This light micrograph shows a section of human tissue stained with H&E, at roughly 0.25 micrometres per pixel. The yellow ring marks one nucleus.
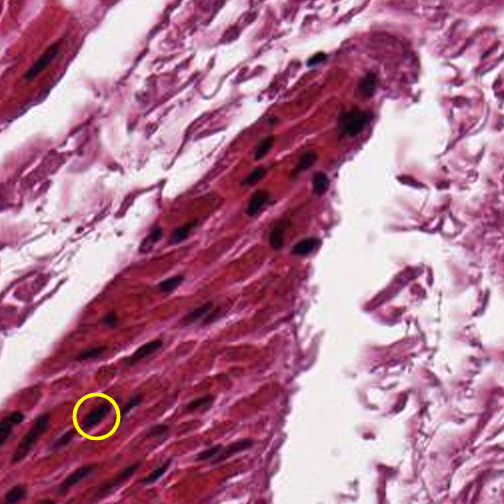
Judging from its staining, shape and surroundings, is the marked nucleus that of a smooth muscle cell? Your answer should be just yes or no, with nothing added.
yes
